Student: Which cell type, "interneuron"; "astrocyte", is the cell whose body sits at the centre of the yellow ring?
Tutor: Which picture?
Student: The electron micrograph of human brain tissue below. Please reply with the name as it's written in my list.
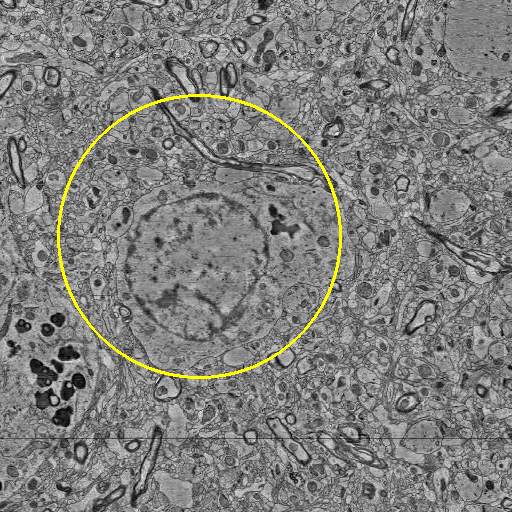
interneuron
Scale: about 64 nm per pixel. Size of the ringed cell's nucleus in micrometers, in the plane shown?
In this plane, approximately 9 micrometres across.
